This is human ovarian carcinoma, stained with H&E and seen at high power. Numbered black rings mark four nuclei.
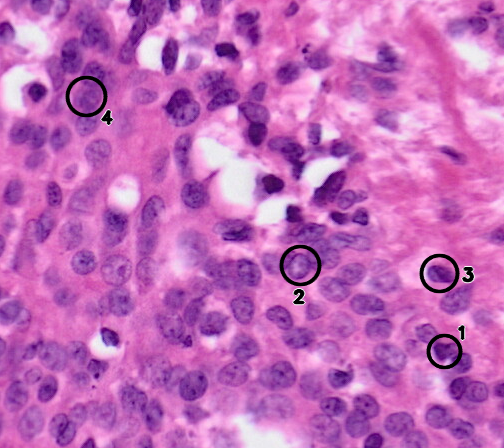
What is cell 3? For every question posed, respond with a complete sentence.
Cell number 3 in this section is a macrophage or monocyte.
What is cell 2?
It is as a carcinoma cell that the cell numbered 2 is identified.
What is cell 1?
The cell whose nucleus carries the number 1 is a carcinoma cell.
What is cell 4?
The one labeled 4 is a carcinoma cell, to put it simply.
